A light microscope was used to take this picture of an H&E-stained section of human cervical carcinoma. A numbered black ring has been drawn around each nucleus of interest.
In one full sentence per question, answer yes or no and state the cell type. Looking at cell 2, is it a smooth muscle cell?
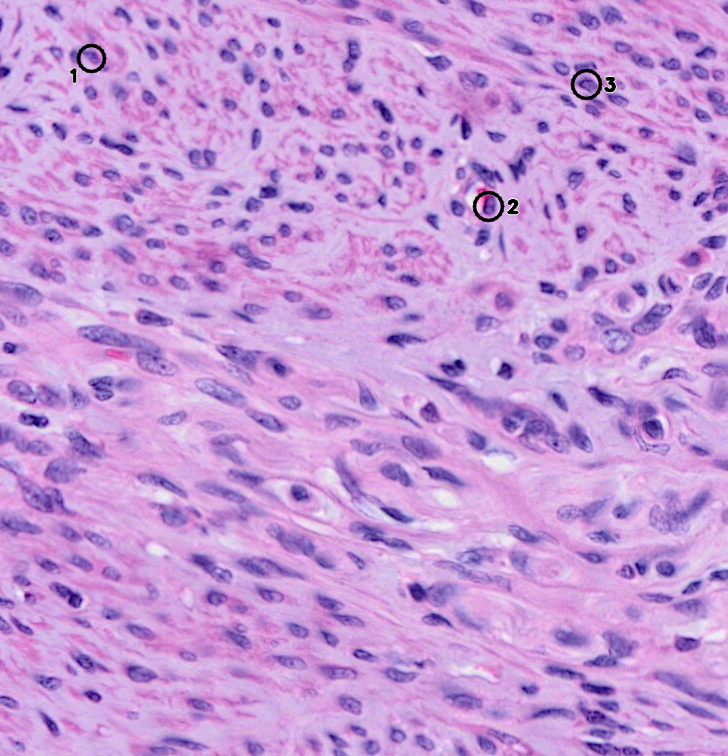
No, sorry, the cell labelled 2 is not a smooth muscle cell; it is an endothelial cell.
